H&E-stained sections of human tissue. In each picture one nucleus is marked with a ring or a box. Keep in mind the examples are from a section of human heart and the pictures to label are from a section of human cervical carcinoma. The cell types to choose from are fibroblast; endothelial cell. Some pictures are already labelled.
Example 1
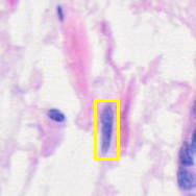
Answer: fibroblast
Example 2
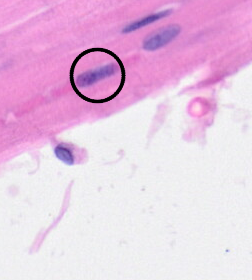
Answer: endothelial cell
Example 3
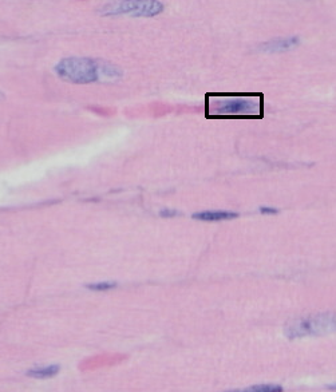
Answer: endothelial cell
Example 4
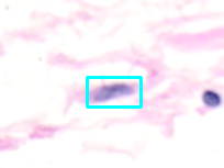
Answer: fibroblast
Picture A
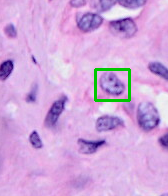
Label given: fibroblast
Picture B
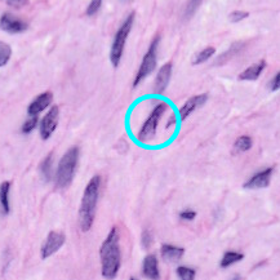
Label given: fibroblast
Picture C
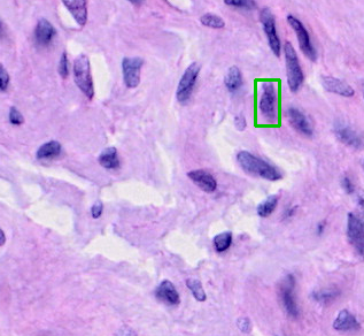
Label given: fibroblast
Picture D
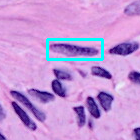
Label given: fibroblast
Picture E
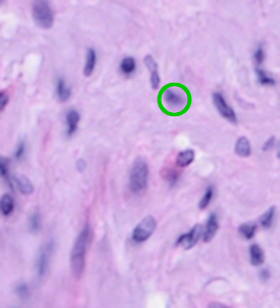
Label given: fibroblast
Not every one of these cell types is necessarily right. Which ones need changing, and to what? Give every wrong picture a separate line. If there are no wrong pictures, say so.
A: change fibroblast to endothelial cell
